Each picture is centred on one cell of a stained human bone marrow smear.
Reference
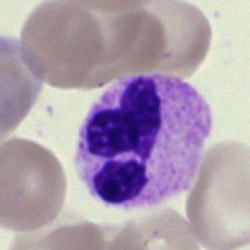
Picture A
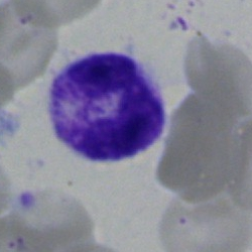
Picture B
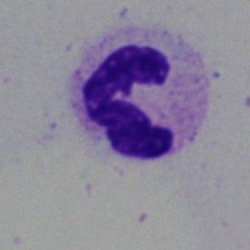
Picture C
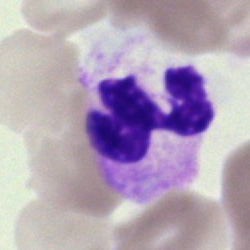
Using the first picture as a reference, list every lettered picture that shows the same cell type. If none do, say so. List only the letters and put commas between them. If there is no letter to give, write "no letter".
A, B, C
